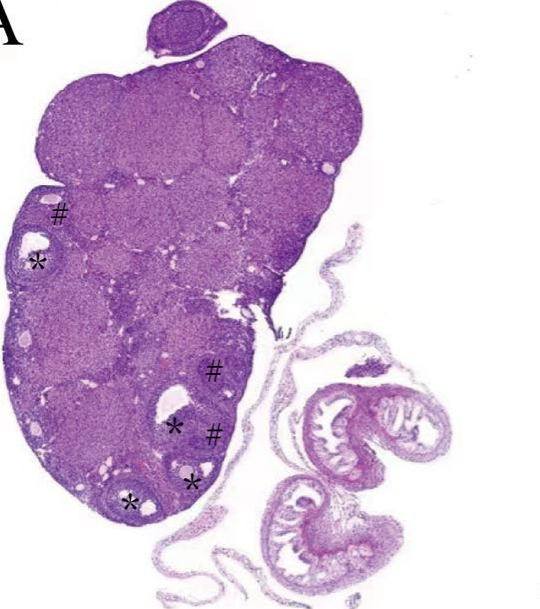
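Several developing follicles lie toward the surface. The bulk of the ovary is taken up by large, rounded, paler solid masses of cells that press against one another. Next to the ovary lie thin membranes and a folded tube with a lining thrown into folds.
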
